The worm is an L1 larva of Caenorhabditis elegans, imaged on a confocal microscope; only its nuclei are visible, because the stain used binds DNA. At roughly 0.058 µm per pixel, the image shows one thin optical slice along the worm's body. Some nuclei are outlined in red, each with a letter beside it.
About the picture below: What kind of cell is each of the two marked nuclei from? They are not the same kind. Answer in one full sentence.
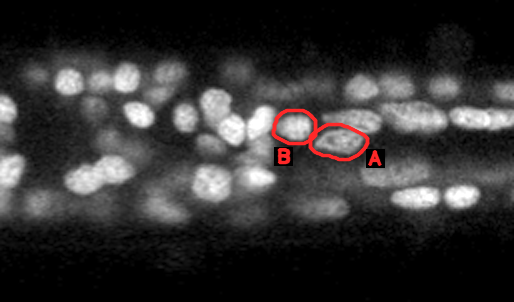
A belongs to a pharyngeal muscle cell and B to a neuron.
